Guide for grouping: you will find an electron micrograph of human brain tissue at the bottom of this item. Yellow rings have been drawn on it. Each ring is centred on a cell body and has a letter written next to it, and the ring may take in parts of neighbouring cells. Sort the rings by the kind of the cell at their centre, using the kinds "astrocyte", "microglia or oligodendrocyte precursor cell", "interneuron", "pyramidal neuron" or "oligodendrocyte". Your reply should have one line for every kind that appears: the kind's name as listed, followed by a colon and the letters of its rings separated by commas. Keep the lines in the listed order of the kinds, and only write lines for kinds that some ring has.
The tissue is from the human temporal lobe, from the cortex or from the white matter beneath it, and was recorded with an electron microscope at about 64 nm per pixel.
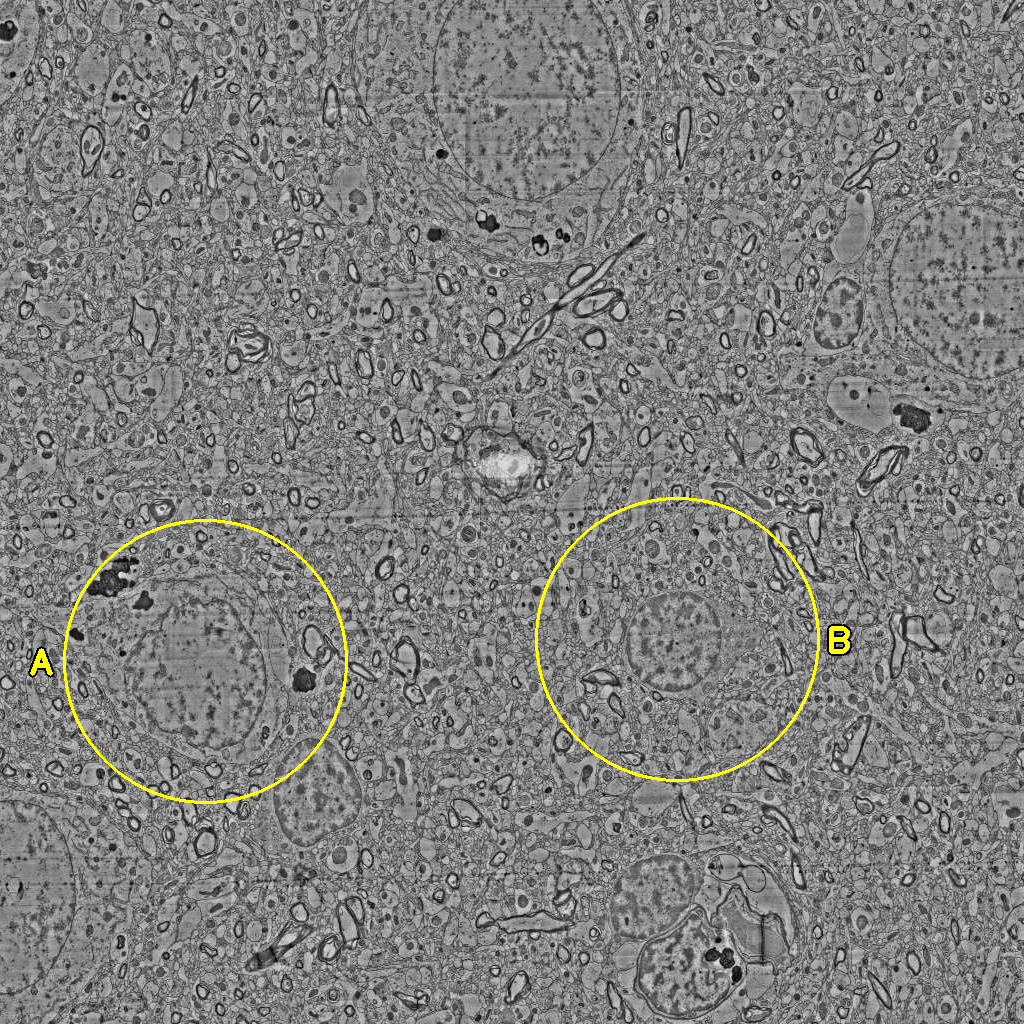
interneuron: A
oligodendrocyte: B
